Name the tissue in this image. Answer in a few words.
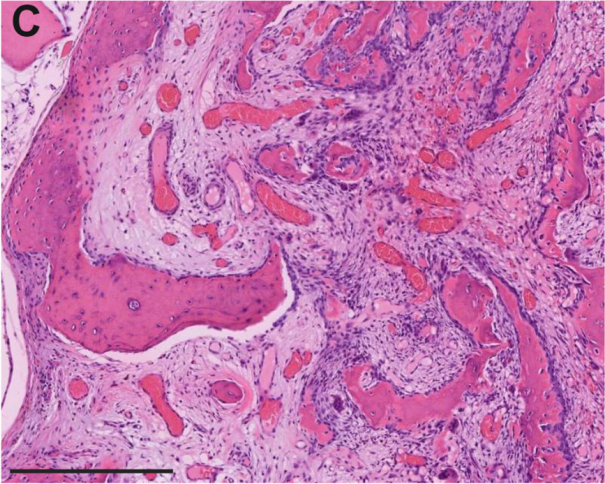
woven bone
